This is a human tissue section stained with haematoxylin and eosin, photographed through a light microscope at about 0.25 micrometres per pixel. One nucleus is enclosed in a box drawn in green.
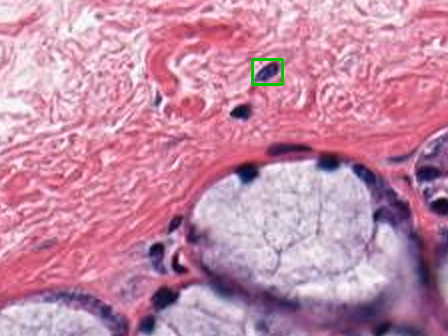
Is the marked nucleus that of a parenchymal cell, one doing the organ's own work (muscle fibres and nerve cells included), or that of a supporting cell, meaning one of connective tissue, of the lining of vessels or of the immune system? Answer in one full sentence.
The marked nucleus is that of a supporting cell.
